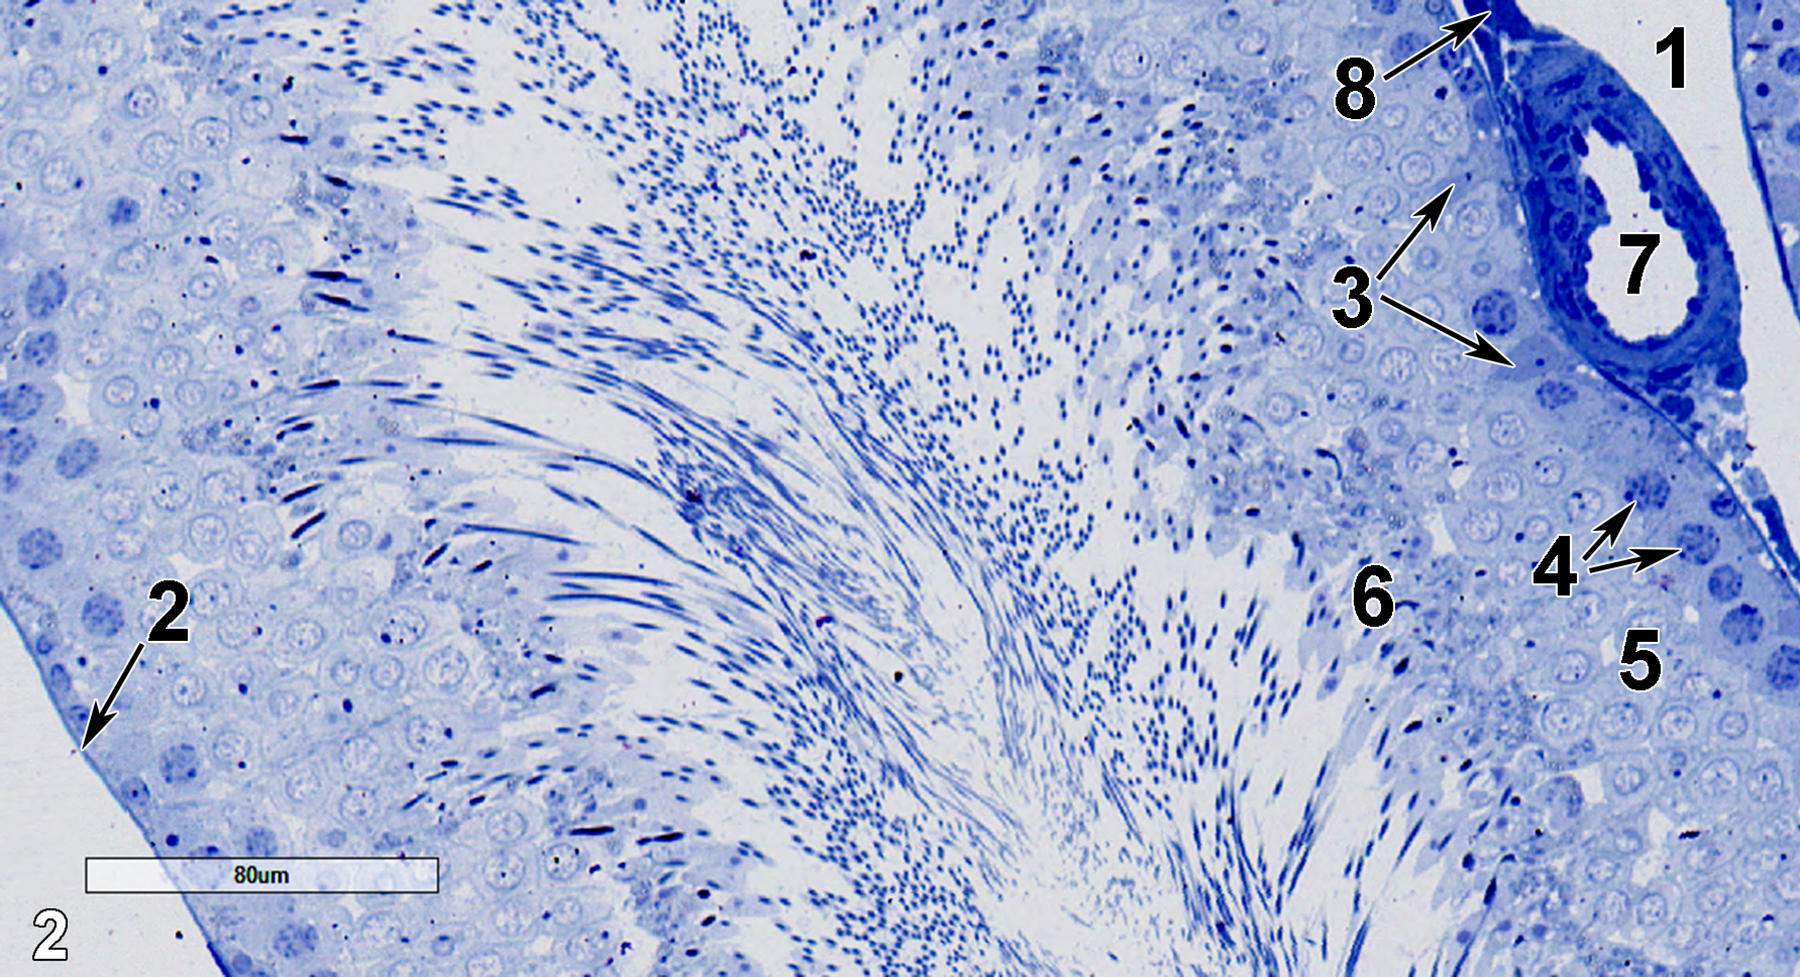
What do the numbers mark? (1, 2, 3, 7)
1: interstitial lymphatic space
2: lamina propria
3: Sertoli cells
7: arteriole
